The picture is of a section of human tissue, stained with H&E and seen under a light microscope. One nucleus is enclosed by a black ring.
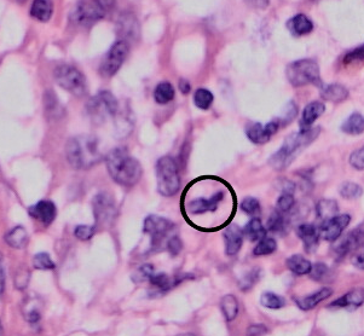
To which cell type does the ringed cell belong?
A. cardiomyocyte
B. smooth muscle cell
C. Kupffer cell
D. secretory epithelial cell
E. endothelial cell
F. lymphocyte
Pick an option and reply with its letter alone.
F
